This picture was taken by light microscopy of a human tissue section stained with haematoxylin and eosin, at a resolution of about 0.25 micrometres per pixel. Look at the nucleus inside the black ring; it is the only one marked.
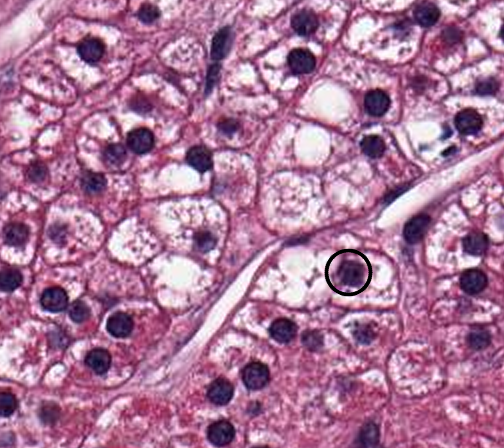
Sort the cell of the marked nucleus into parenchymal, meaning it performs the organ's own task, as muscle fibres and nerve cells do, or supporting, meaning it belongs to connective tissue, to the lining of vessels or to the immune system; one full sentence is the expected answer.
This marked nucleus is part of a parenchymal cell, namely an adrenal cortical cell.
